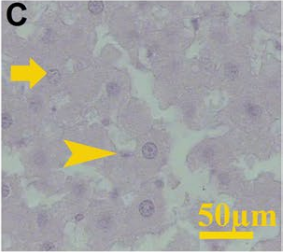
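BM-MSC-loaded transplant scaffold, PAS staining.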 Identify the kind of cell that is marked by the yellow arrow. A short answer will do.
Cells with hepatocyte phenotype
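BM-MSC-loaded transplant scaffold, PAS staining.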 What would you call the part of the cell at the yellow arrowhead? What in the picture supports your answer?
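A small elongated dark nucleus at the edge of a pale channel. Much flatter and smaller than the neighbouring round nuclei.
Conclusion: nuclei of the endothelial cells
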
